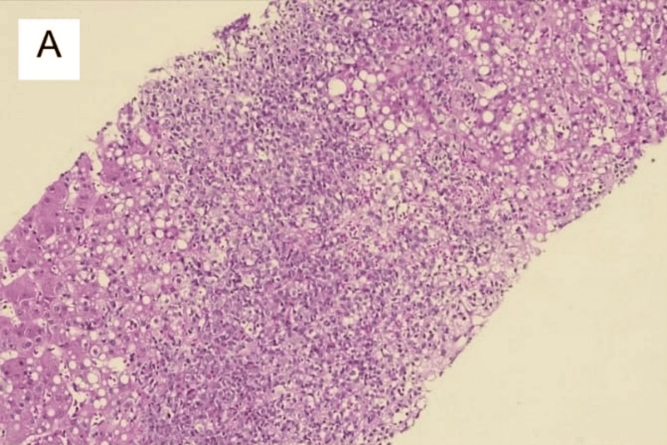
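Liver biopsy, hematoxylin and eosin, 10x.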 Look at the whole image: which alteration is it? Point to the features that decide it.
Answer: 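Destruction of the hepatic architecture. Normal hepatocyte plates are replaced across much of the core by sheets of infiltrating cells.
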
